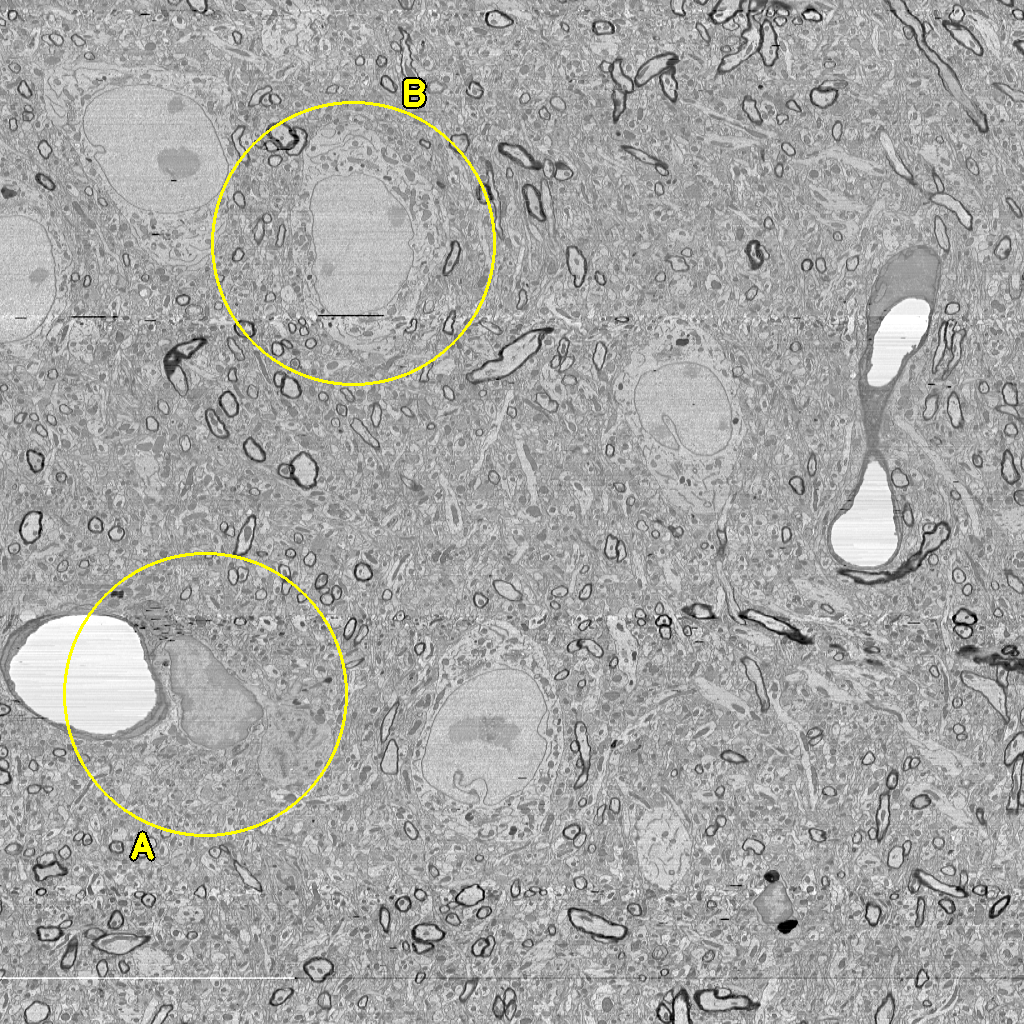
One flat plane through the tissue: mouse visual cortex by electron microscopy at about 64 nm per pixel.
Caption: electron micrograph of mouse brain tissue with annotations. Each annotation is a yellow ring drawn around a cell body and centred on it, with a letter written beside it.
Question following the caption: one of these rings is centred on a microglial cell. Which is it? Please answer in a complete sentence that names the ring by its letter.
The ring with the letter A is centred on it.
